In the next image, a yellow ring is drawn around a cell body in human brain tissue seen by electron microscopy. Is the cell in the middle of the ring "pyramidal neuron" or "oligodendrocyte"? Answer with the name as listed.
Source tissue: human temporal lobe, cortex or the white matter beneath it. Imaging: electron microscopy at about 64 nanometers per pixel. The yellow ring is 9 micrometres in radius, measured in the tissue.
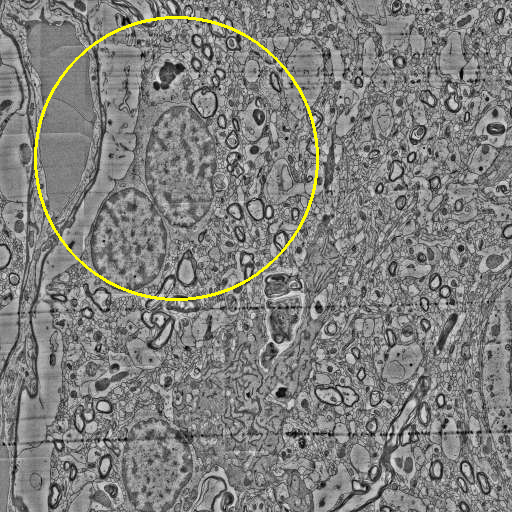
oligodendrocyte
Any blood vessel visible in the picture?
Yes, one shows.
